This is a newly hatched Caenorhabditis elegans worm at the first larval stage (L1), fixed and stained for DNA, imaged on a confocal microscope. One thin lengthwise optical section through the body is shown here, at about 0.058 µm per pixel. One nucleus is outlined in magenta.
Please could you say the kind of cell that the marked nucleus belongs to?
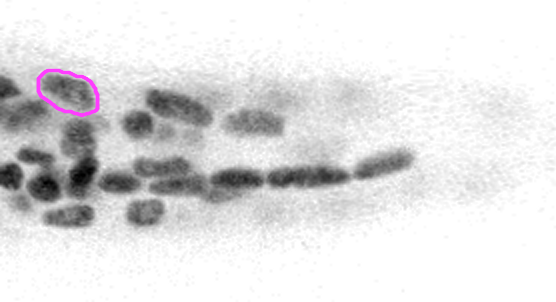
body wall muscle cell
